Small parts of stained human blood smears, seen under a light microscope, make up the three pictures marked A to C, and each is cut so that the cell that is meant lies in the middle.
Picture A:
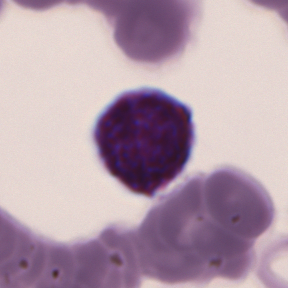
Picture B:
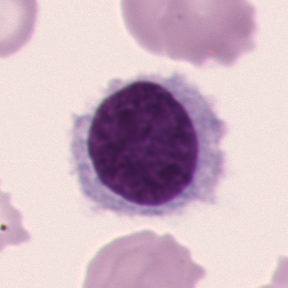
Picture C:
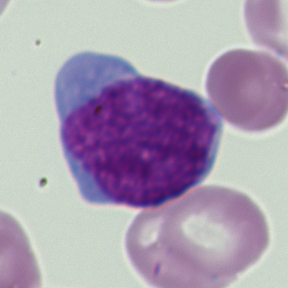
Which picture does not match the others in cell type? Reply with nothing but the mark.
B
